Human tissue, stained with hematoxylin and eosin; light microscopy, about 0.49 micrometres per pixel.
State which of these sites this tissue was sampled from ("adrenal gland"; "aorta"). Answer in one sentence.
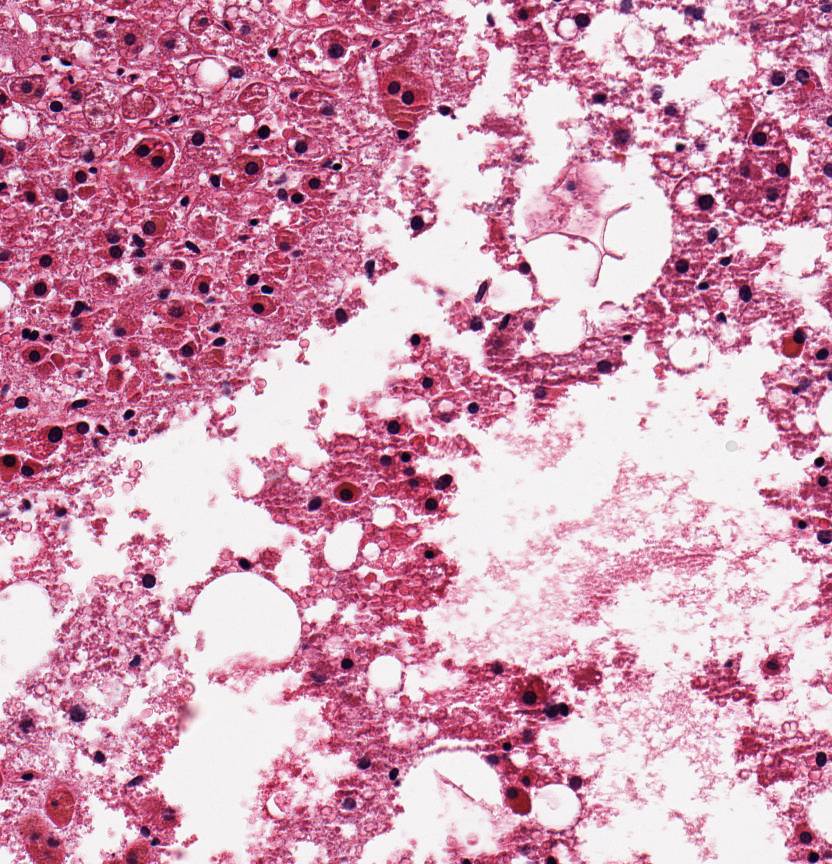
The site this tissue was sampled from is the adrenal gland.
